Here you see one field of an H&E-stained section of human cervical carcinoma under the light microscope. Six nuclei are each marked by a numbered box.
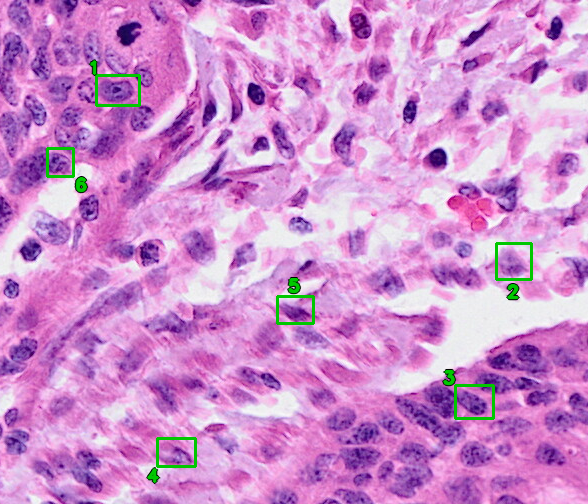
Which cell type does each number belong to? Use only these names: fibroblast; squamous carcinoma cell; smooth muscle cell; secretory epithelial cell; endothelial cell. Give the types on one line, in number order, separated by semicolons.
squamous carcinoma cell; fibroblast; squamous carcinoma cell; fibroblast; fibroblast; squamous carcinoma cell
